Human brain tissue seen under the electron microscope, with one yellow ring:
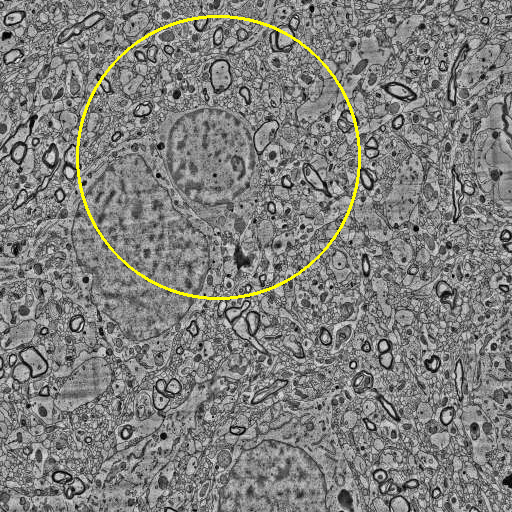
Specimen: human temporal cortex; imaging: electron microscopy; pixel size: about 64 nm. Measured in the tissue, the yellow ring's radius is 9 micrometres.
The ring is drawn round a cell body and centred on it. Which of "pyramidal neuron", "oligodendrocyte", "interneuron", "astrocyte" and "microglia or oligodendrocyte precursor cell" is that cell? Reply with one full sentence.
The picture shows an oligodendrocyte at the very centre of the yellow ring.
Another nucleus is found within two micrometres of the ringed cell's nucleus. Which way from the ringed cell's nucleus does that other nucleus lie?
The other one lies to the lower left of it.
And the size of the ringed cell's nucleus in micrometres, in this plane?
In this plane, the nucleus measures approximately 6 micrometres across.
